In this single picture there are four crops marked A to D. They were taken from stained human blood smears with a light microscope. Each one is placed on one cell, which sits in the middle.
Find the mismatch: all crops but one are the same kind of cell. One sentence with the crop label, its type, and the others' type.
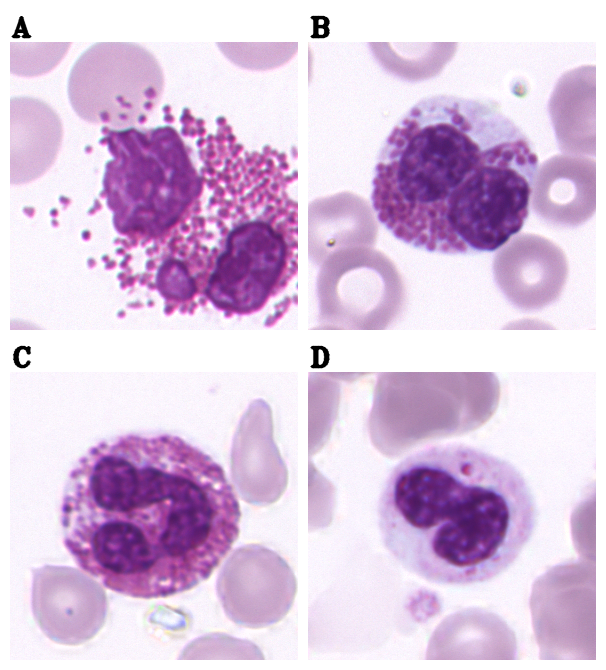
The exception in this group is crop D, a band neutrophil, and the others are all eosinophils.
